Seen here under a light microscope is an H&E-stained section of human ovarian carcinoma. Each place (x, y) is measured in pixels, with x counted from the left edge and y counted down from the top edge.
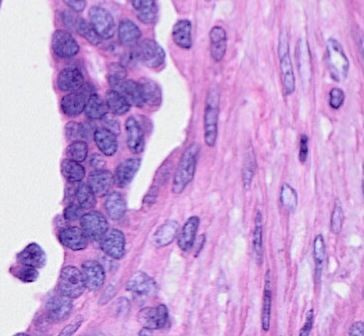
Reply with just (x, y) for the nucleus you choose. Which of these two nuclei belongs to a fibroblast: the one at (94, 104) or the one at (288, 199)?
(288, 199)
